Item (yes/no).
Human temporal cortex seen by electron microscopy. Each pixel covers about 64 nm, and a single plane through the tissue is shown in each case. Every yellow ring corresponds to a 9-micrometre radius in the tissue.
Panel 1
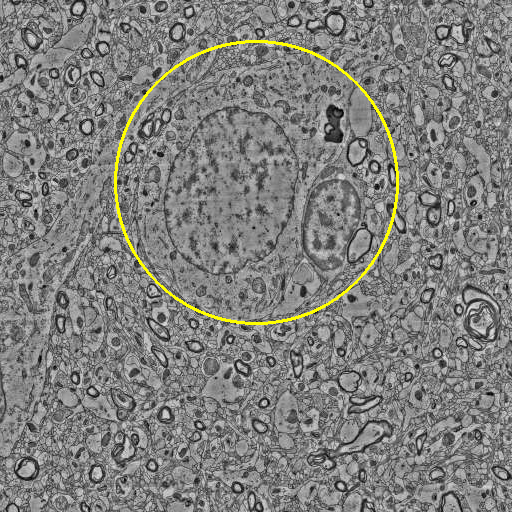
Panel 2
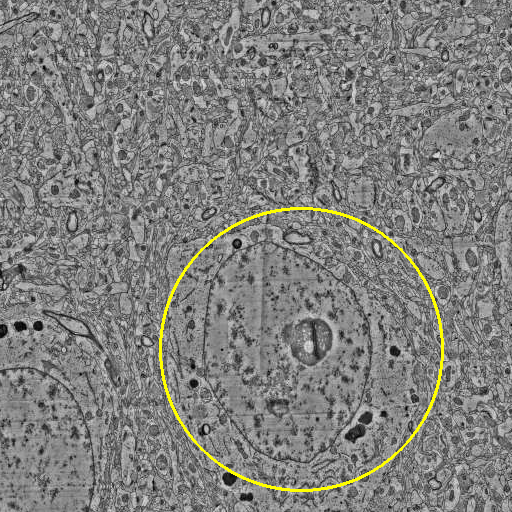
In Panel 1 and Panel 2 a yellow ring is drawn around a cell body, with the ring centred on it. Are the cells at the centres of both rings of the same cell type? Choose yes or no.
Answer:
yes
